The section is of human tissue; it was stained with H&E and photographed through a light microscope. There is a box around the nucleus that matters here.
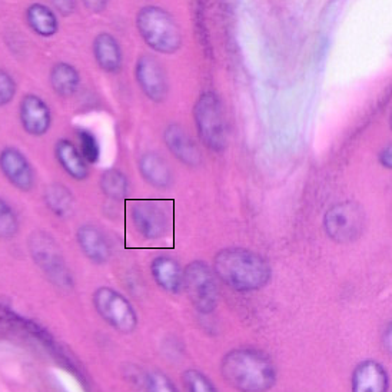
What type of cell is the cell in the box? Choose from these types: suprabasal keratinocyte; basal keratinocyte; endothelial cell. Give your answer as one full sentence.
In this section, the cell in the box is a suprabasal keratinocyte.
